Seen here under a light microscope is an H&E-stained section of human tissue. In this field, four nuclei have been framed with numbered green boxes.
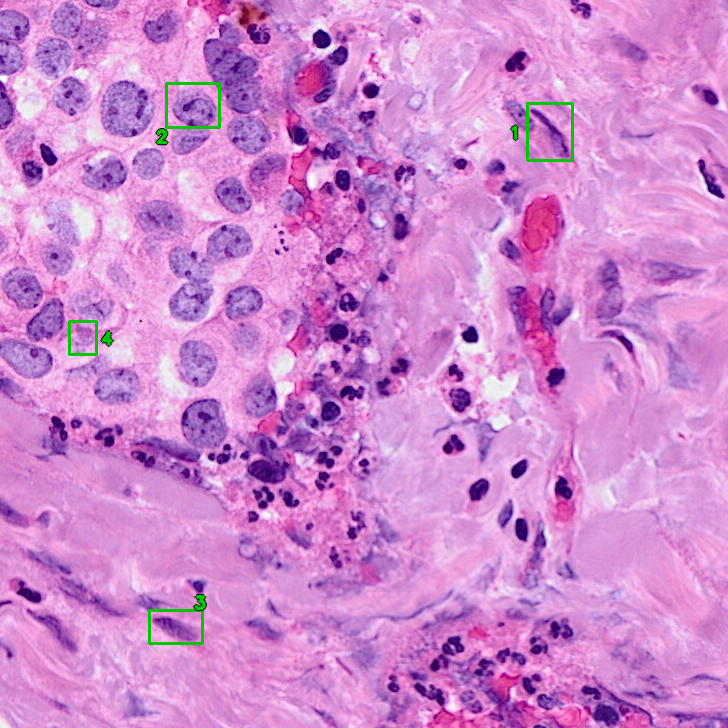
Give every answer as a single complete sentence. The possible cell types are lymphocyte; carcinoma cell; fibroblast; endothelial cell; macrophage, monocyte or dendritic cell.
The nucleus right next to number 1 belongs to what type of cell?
Number 1 lies closest to the nucleus of a macrophage, monocyte or dendritic cell.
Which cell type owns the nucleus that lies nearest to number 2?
Closest to number 2 lies the nucleus of a carcinoma cell.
